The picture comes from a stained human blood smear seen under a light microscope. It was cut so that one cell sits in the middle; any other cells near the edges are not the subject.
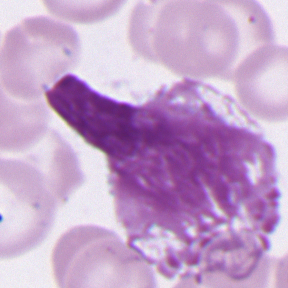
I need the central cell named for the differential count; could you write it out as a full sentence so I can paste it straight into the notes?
In the central position of this crop, the cell is a smudge cell.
